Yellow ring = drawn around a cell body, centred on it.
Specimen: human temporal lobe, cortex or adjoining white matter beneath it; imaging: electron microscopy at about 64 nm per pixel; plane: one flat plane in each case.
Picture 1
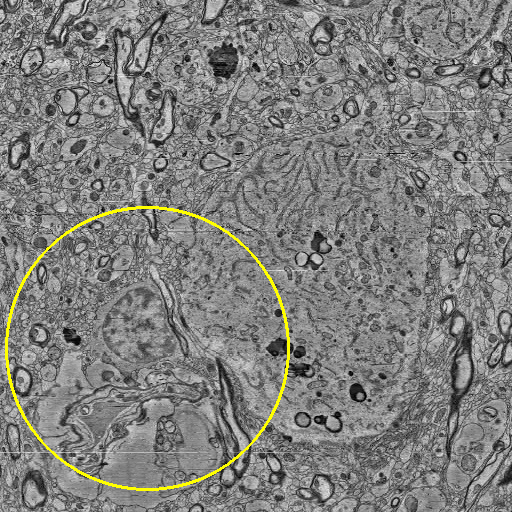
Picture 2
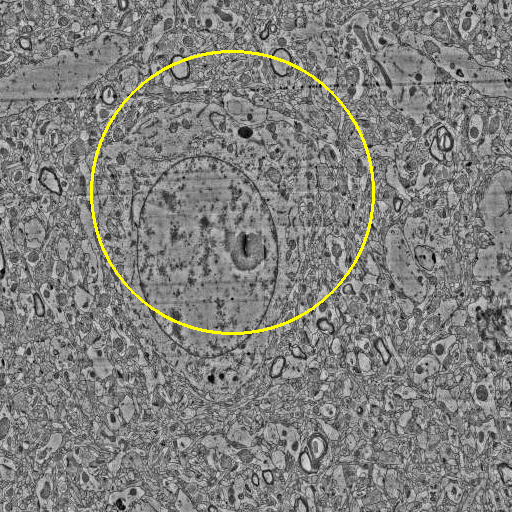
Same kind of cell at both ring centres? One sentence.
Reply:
No, they are two kinds of cell.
